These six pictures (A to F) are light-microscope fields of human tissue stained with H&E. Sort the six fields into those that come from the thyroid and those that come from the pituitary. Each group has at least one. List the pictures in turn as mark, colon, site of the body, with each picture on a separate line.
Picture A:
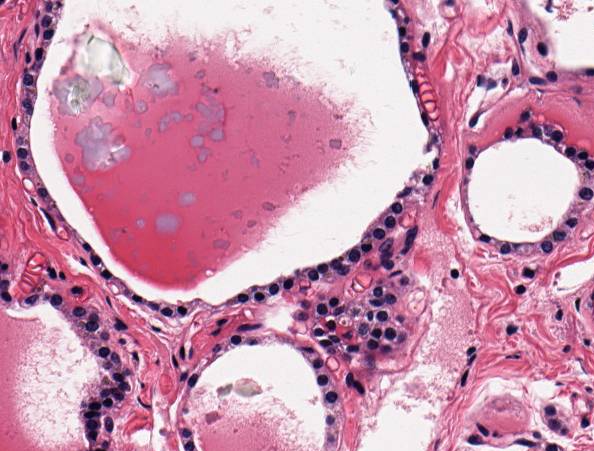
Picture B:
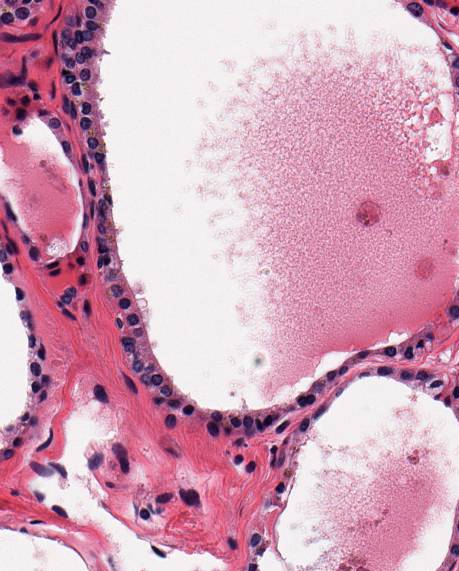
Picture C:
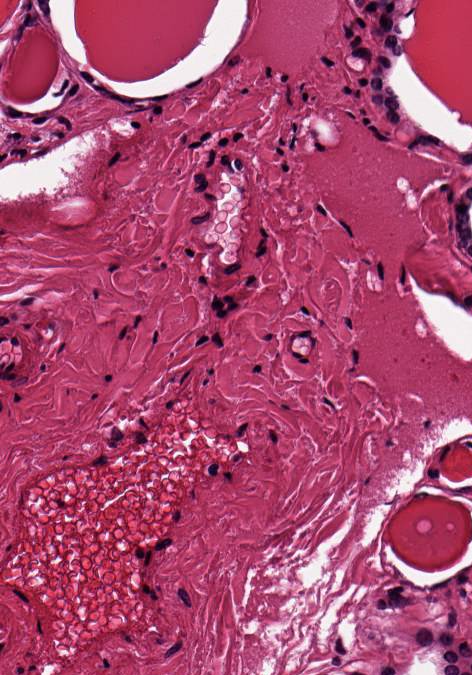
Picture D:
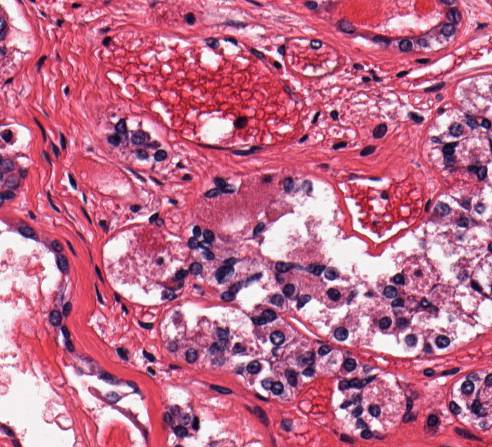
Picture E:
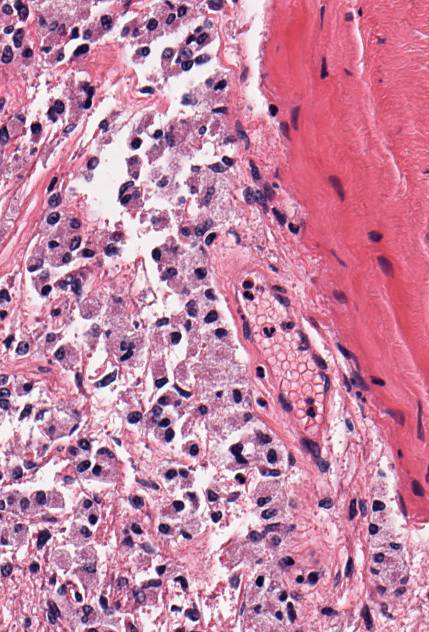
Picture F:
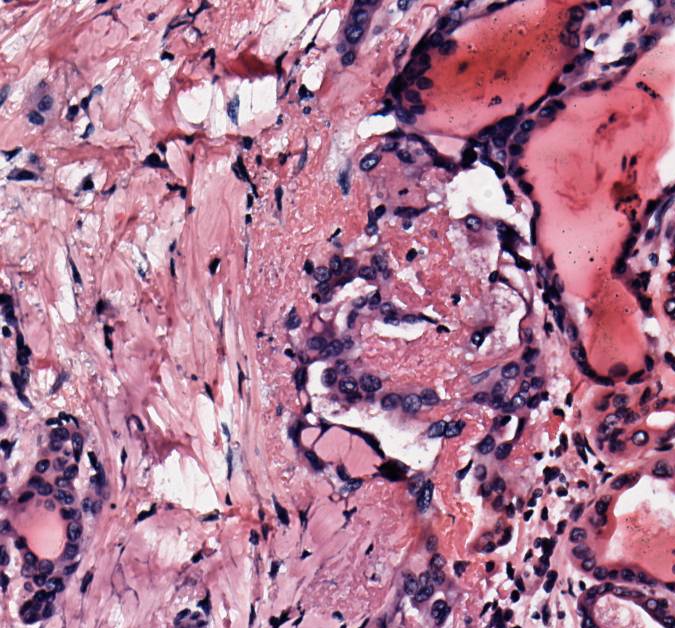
A: thyroid
B: thyroid
C: thyroid
D: pituitary
E: pituitary
F: thyroid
